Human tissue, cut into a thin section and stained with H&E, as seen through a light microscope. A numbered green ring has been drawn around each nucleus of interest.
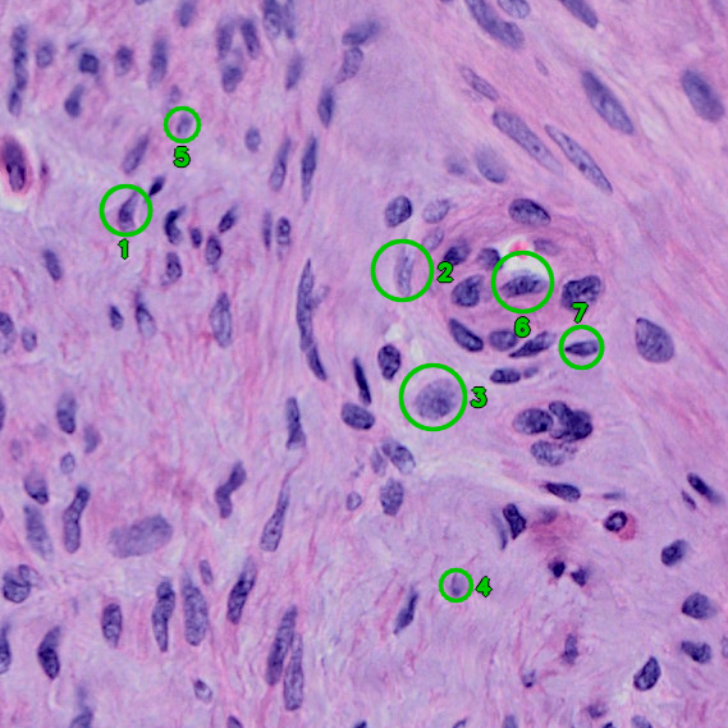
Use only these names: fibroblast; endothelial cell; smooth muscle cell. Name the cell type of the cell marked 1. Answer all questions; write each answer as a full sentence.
Denoted by the label 1 in the section is a smooth muscle cell.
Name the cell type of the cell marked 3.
The identity of cell 3 is that of a fibroblast.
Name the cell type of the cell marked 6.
The nucleus labelled 6 belongs to an endothelial cell.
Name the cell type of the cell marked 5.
Number 5 is placed on a smooth muscle cell here.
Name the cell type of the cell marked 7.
The cell pointed out as number 7 is a fibroblast.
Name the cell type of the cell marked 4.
Denoted by the label 4 in the section is a smooth muscle cell.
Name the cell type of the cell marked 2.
The correct answer for cell 2 is a smooth muscle cell.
